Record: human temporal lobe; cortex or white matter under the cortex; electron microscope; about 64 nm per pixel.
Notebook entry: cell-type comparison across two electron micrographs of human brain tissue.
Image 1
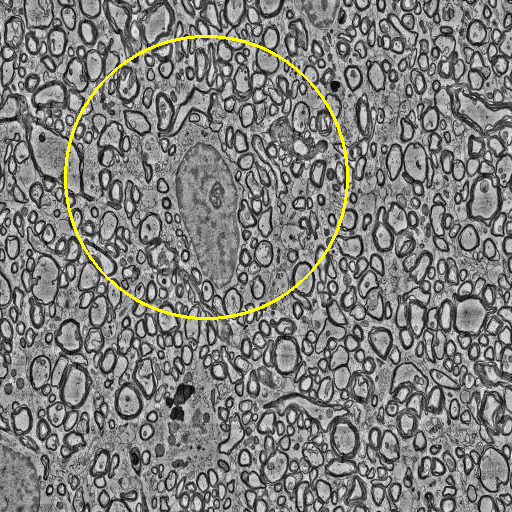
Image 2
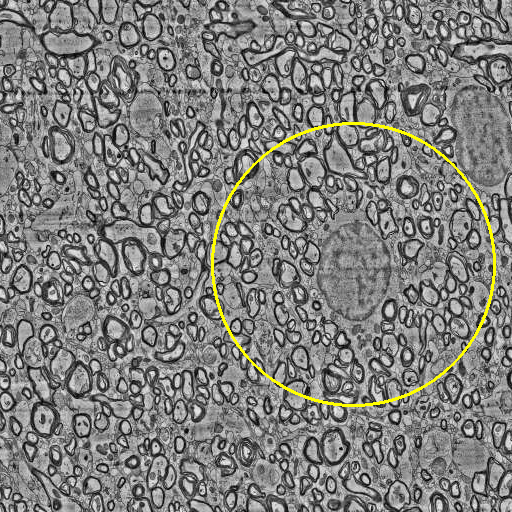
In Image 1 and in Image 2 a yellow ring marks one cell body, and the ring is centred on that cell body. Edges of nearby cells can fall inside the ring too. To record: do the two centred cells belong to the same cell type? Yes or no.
yes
